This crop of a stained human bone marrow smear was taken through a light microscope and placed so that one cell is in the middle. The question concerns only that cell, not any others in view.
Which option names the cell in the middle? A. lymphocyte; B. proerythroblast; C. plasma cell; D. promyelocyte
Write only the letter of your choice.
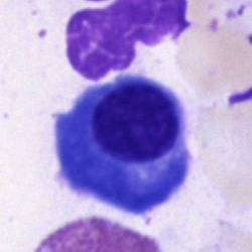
C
